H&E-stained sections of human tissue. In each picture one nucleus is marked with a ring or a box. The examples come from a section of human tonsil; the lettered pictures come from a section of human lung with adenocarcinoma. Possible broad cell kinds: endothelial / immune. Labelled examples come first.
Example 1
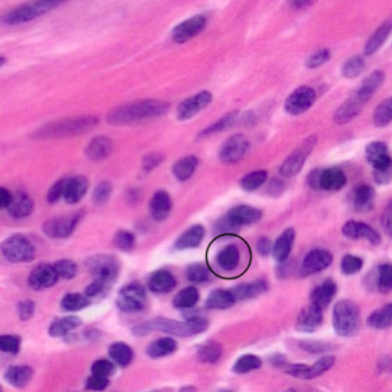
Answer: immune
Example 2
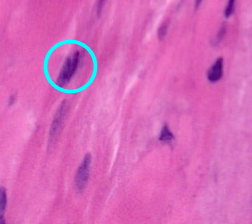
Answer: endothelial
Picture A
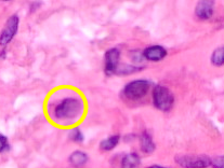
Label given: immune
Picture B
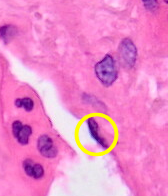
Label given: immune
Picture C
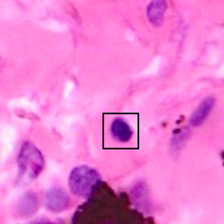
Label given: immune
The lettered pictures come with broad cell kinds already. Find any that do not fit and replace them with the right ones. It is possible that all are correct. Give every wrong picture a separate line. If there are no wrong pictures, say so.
B should be endothelial, not immune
